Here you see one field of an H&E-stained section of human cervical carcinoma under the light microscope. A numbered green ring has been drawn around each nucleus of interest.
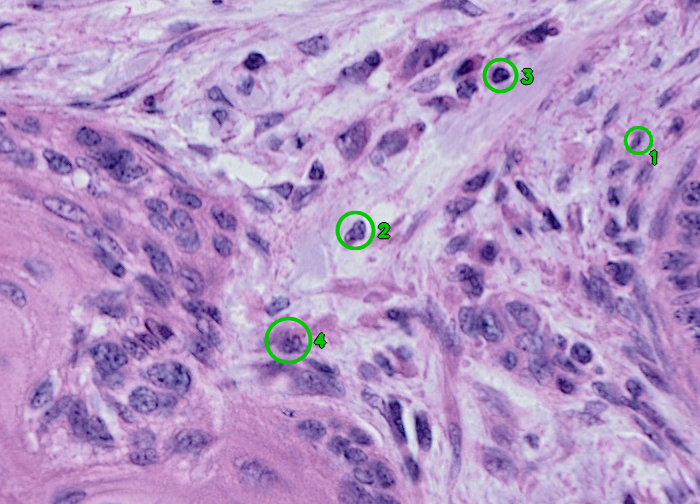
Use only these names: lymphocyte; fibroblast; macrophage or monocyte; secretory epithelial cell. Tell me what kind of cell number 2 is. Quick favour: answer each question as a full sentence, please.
In this section, the cell tagged 2 is a lymphocyte.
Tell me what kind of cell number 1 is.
The cell pointed out by number 1 is a fibroblast.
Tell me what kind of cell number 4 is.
Of the numbered cells, the one labelled 4 is a macrophage or monocyte.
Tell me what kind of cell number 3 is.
The cell given label 3 is a lymphocyte.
